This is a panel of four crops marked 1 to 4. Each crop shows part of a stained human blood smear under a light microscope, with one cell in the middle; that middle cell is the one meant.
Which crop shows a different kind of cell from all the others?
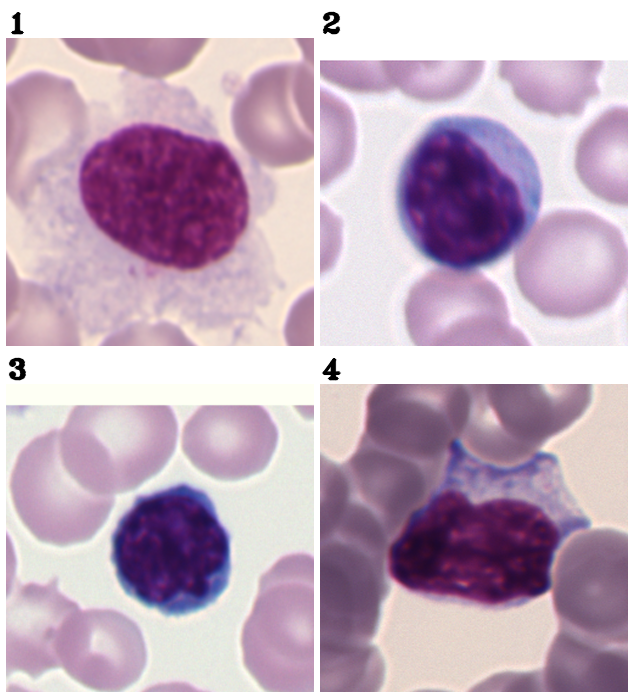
1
